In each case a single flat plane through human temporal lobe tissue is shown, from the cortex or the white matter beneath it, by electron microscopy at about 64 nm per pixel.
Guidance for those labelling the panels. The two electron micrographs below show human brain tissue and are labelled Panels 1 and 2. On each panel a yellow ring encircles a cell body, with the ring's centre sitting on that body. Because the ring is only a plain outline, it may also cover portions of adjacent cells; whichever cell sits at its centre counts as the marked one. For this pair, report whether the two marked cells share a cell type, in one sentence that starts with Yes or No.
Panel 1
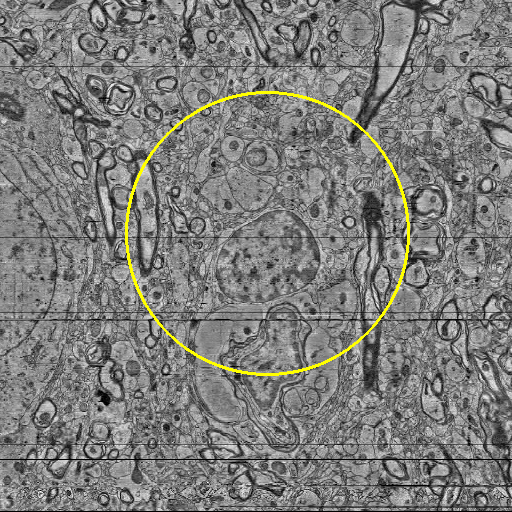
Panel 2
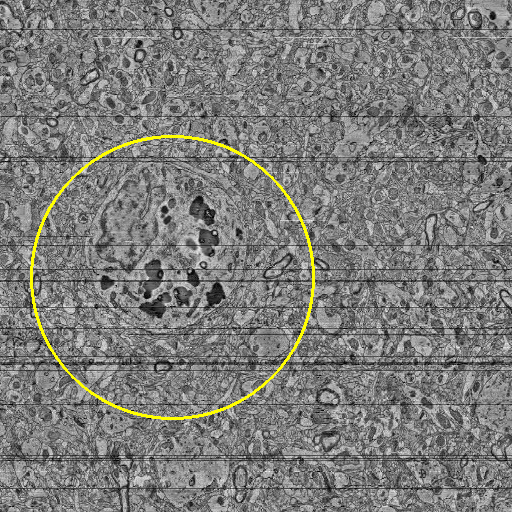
No, in Panel 1 and Panel 2 the marked cells at the ring centres are of two types.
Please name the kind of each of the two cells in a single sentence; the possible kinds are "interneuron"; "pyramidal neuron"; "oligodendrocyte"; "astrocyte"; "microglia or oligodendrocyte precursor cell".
In the first picture the ring is centred on a microglial cell or oligodendrocyte precursor cell, and in the second on an interneuron.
